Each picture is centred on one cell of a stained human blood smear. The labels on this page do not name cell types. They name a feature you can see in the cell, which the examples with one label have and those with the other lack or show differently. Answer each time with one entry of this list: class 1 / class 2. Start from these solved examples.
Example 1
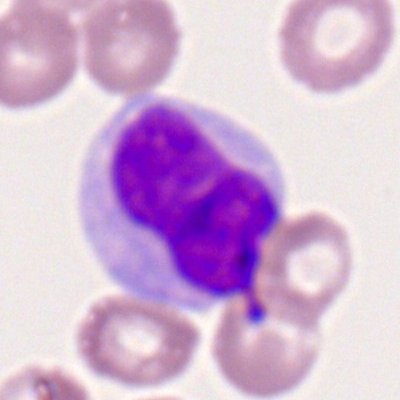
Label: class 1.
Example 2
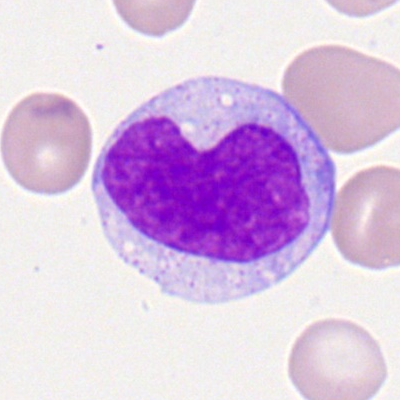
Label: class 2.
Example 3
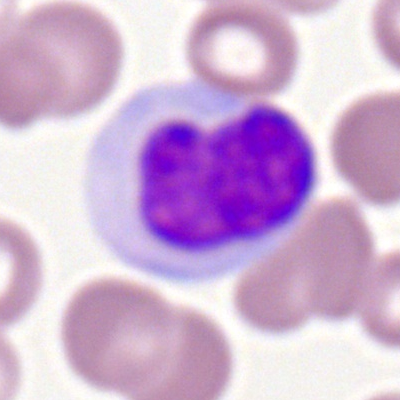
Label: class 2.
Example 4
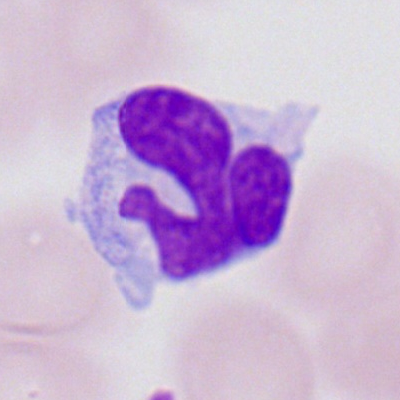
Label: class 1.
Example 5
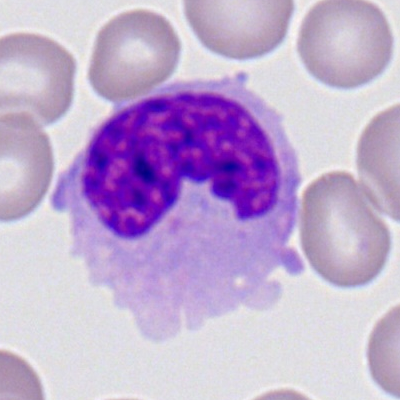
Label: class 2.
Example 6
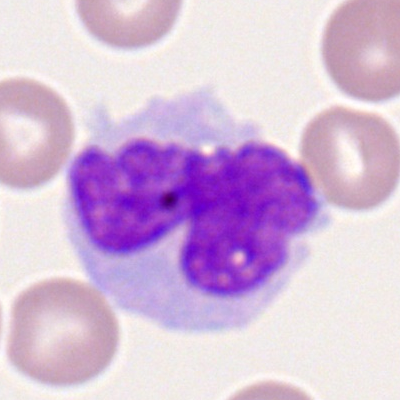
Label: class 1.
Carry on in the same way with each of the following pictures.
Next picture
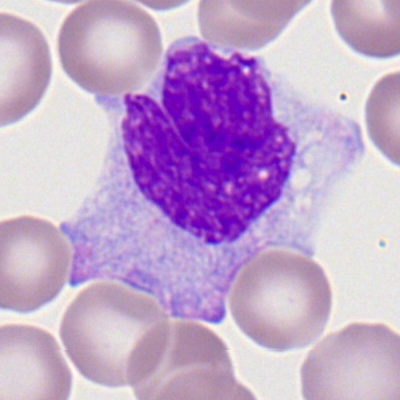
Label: class 1.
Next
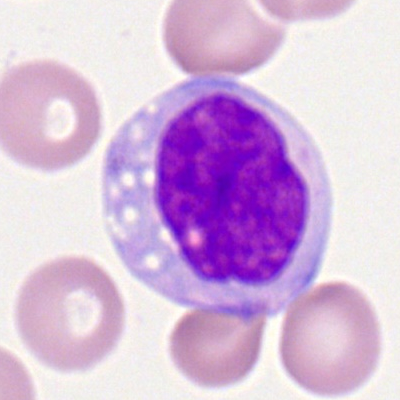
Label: class 2.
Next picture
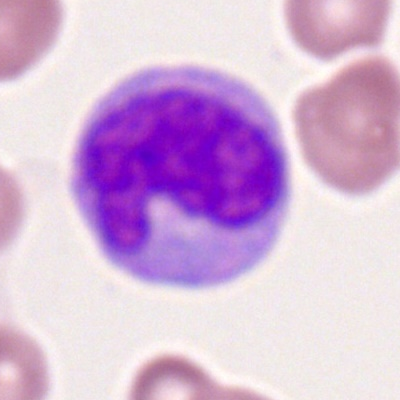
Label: class 2.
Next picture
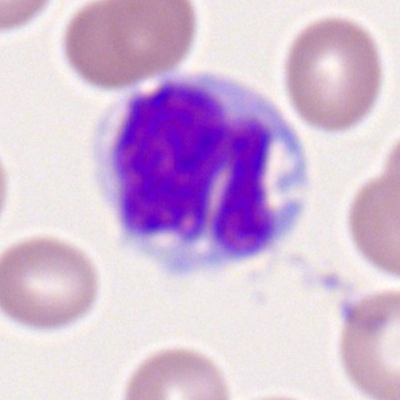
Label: class 1.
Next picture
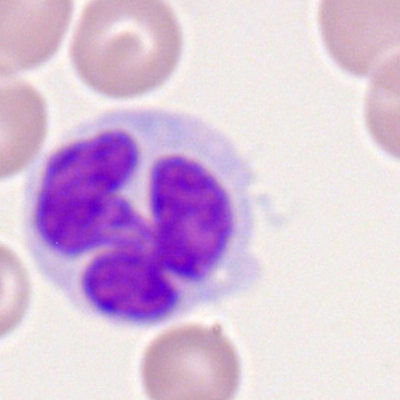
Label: class 1.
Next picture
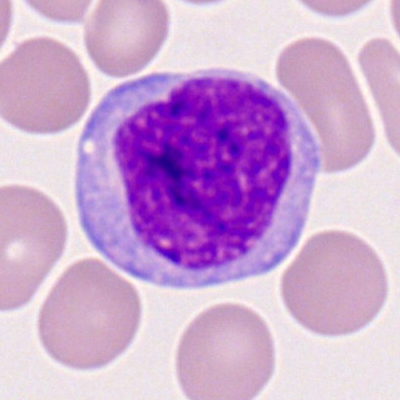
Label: class 2.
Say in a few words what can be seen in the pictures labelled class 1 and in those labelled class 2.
class 1, lobed nucleus; class 2, single compact nucleus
